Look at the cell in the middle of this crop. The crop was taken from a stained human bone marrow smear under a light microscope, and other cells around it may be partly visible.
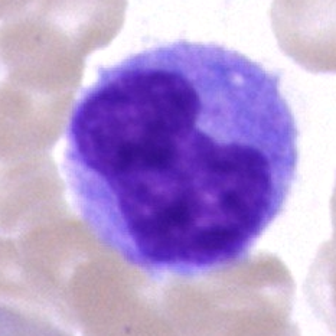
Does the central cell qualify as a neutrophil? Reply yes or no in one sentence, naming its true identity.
No, that guess of a neutrophil misses; the central cell is a monocyte.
